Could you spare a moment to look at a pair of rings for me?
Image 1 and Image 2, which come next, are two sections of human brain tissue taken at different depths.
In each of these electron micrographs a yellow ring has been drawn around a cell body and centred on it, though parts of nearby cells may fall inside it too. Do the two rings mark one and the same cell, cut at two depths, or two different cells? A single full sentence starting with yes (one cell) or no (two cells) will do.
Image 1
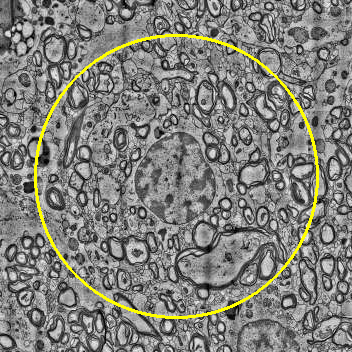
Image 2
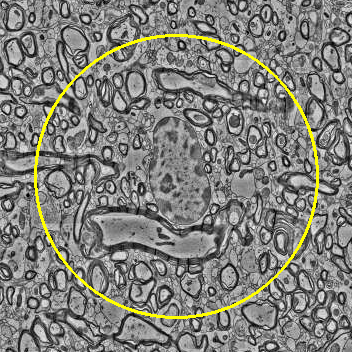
No, the cells within these rings are two separate cells.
